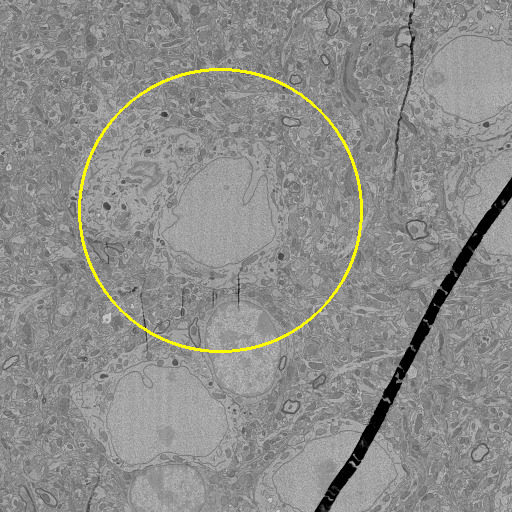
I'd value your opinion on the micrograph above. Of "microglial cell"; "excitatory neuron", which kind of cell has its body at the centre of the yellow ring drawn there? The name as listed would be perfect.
excitatory neuron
